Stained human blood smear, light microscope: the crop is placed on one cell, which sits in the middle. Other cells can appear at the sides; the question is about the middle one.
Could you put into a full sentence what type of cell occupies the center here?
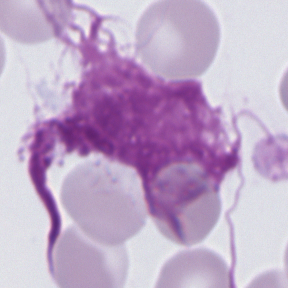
In the middle of this smear crop, the cell is a smudge cell.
